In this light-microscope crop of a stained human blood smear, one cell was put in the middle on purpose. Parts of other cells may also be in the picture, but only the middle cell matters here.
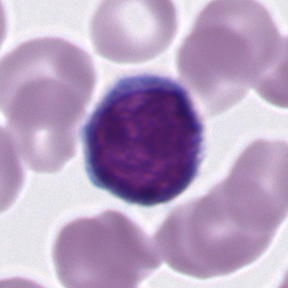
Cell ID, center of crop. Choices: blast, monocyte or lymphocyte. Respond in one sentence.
Whatever else lies nearby, the middle cell is a lymphocyte.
